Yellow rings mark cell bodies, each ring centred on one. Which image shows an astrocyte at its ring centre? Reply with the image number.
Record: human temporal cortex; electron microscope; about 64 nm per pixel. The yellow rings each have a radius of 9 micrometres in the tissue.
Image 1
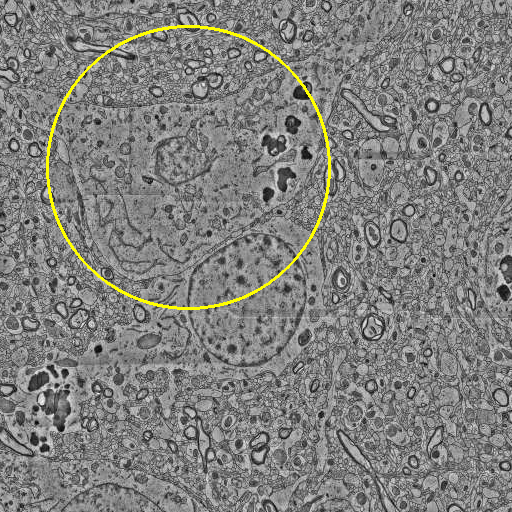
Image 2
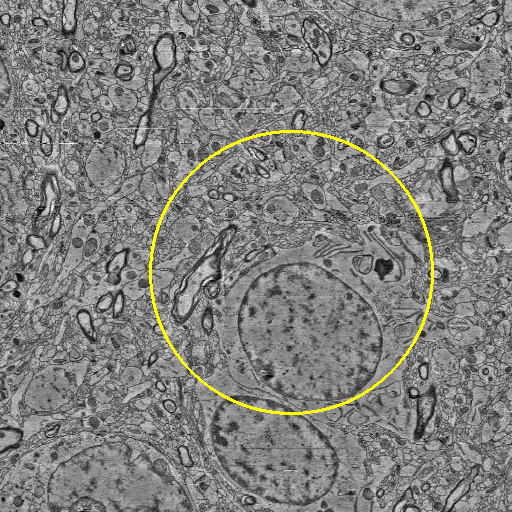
2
